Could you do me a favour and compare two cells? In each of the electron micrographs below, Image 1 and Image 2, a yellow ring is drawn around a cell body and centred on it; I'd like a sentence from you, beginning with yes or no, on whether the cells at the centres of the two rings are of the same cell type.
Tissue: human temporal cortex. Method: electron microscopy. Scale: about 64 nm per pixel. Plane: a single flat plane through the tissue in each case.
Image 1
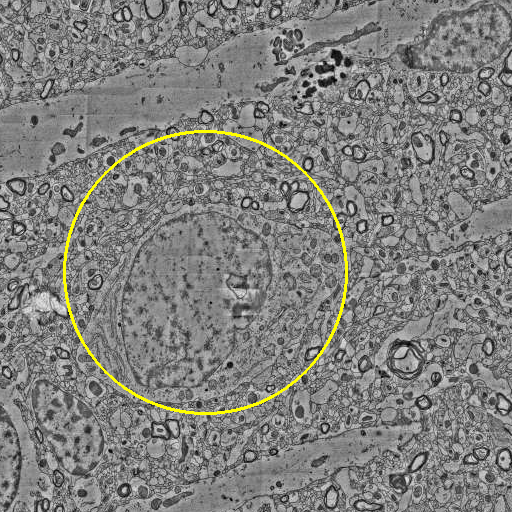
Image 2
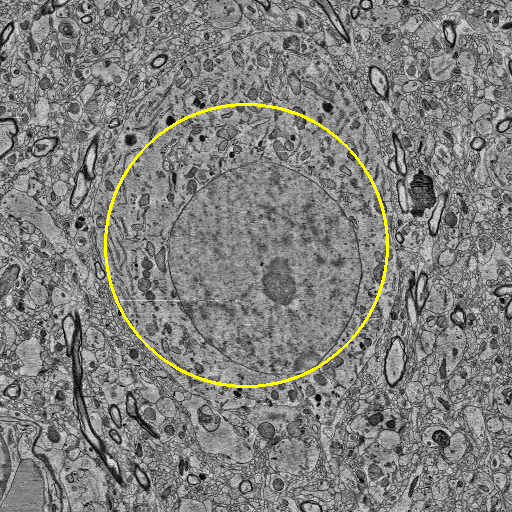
Yes, the two cells are of the same cell type.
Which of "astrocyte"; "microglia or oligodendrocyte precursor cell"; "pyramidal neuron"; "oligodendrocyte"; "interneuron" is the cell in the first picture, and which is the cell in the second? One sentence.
Each one of the two ringed cells is an interneuron.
